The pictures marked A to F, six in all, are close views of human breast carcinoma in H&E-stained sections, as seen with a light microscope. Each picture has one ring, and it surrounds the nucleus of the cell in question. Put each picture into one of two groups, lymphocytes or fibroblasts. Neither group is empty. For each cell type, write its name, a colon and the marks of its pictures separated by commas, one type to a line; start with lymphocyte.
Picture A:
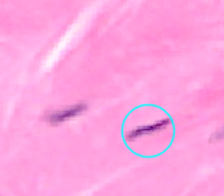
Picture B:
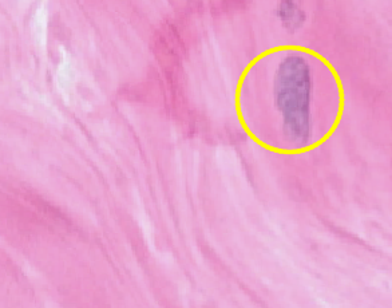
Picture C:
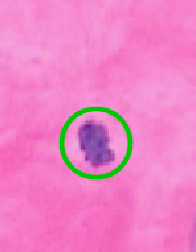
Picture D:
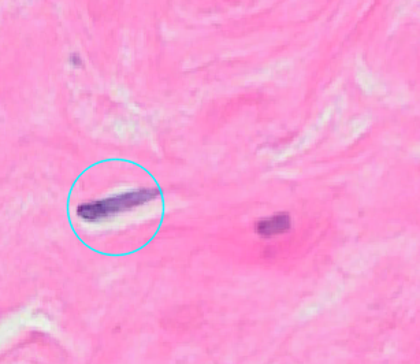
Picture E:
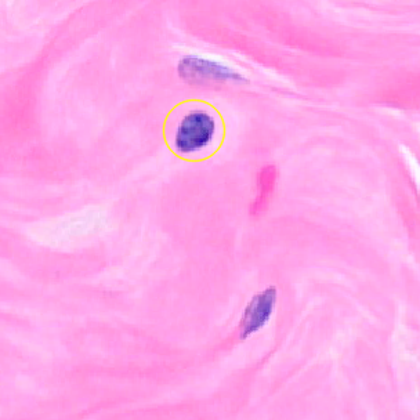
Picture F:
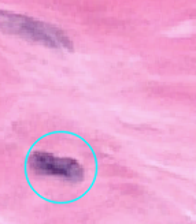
lymphocyte: C, E, F
fibroblast: A, B, D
